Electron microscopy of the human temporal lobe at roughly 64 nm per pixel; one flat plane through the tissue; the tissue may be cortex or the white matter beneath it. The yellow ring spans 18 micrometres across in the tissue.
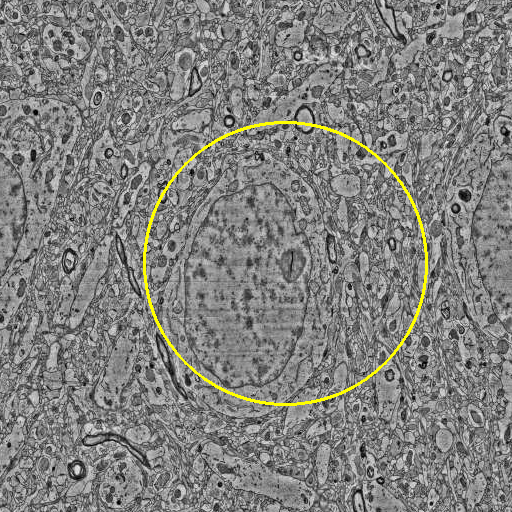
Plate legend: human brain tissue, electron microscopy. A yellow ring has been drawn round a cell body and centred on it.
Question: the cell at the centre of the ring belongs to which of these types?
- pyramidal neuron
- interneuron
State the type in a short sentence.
The cell in the middle of the ring is an interneuron.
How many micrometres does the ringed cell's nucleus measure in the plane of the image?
About 13 by 8 micrometres in this plane; clearly longer than it is wide.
